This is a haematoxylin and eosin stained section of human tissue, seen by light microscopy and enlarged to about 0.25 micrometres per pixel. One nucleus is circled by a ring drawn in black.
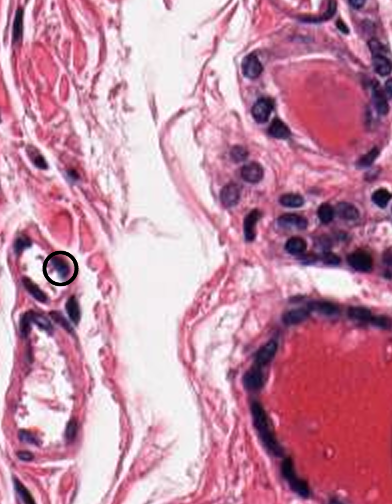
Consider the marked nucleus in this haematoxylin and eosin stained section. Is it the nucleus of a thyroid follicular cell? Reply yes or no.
no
